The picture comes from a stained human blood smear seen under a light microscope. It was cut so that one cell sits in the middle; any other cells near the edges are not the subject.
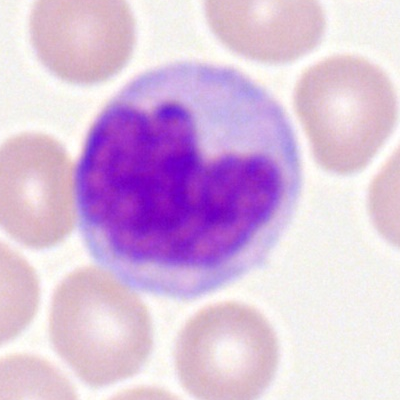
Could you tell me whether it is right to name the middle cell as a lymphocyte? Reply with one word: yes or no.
no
